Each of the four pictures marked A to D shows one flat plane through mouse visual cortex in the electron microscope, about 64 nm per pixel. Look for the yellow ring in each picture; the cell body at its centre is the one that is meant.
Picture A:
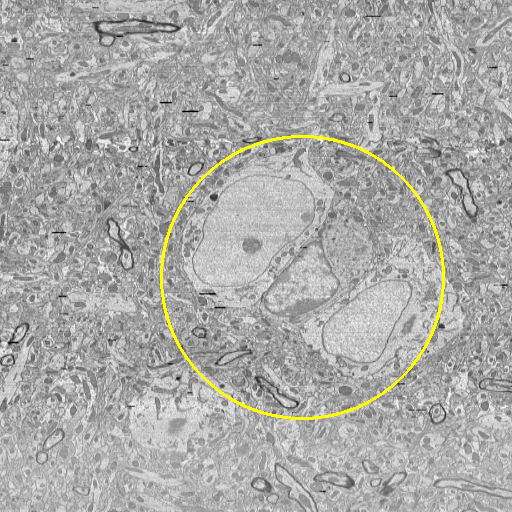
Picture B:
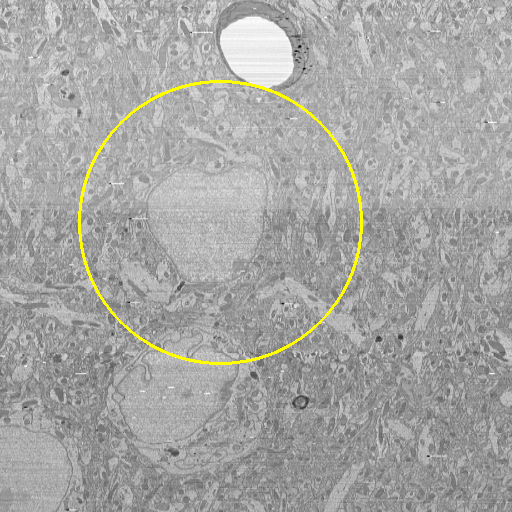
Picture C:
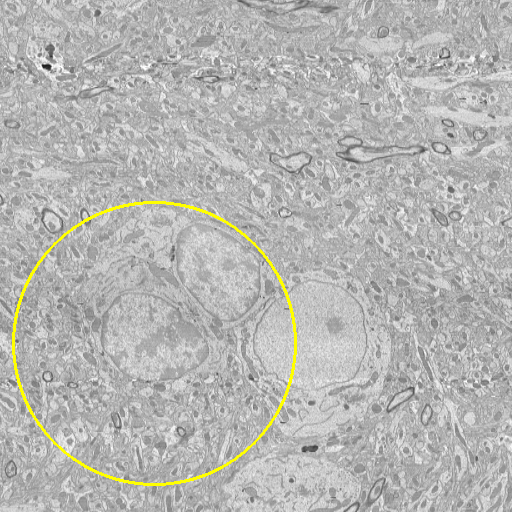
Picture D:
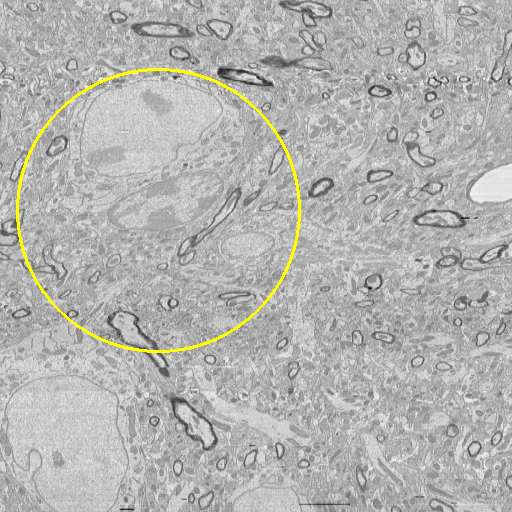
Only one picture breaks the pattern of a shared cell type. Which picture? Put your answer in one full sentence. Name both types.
Unlike the rest, which show oligodendrocytes, picture B shows an astrocyte.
